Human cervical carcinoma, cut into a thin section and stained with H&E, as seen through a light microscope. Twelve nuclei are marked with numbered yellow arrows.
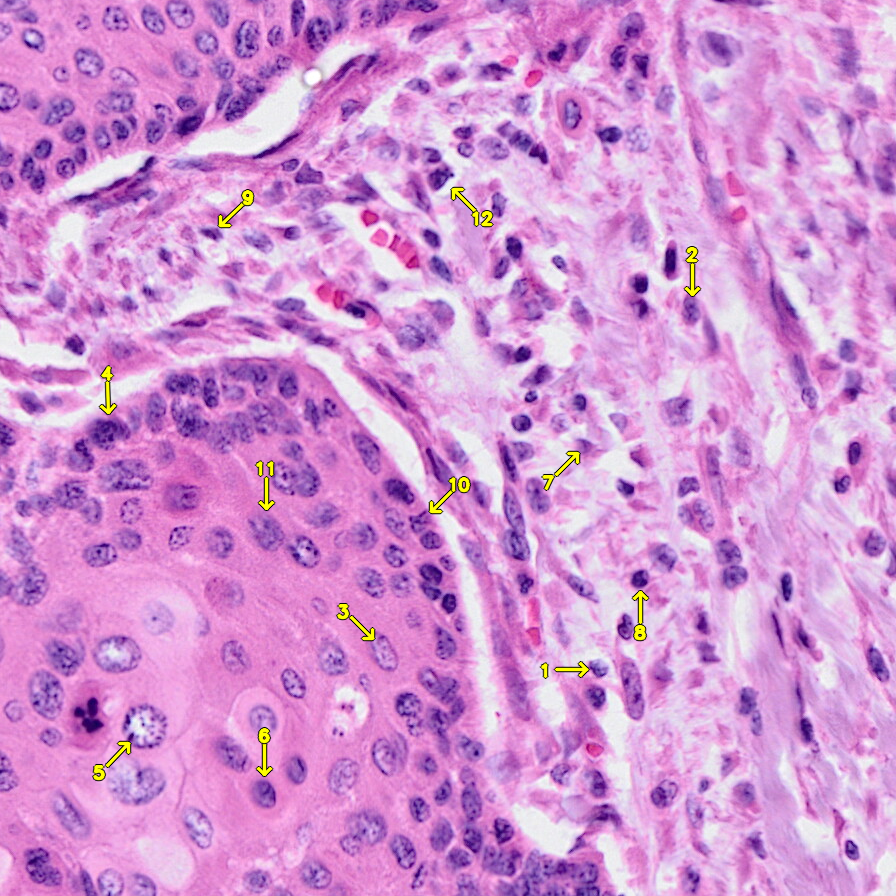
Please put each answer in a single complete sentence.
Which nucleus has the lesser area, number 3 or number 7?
Nucleus 7 is the smaller one; nucleus 3 covers about 4 times its area.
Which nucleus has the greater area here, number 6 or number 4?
At about 1.5 times the area of nucleus 6, nucleus 4 is the larger of the two.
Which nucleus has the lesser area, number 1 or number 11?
Nucleus 1 covers less area, with nucleus 11 about 4 times as large.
